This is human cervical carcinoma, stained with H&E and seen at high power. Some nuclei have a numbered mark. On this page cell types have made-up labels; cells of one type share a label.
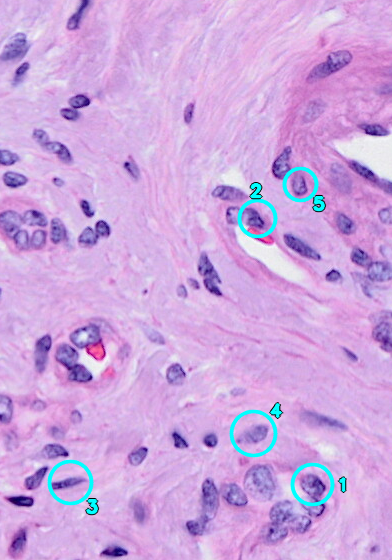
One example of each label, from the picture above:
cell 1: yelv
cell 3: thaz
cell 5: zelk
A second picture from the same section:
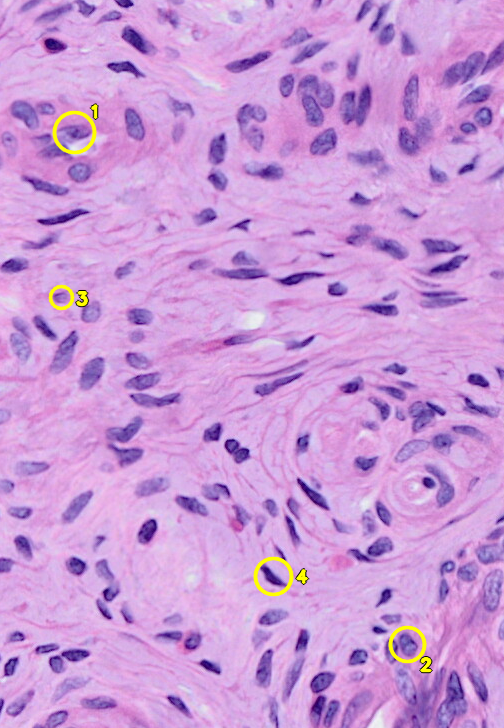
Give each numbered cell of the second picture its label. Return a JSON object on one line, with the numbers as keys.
{"1": "yelv", "2": "zelk", "3": "zelk", "4": "thaz"}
